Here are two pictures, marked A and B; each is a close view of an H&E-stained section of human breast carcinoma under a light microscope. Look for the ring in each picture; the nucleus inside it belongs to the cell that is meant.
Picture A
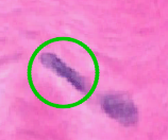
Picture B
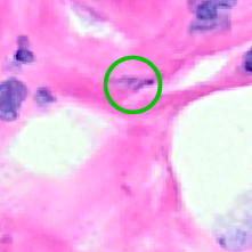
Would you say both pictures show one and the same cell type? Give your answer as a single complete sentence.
Yes, both are fibroblasts.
